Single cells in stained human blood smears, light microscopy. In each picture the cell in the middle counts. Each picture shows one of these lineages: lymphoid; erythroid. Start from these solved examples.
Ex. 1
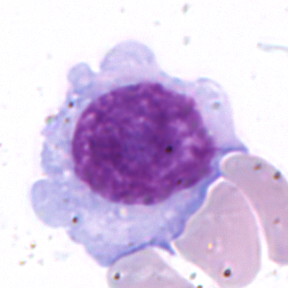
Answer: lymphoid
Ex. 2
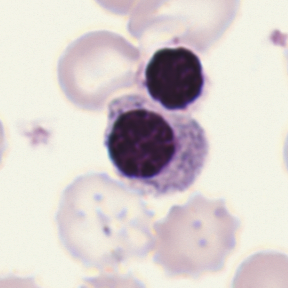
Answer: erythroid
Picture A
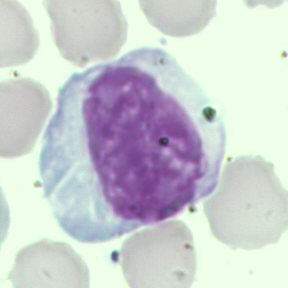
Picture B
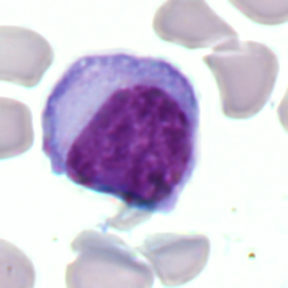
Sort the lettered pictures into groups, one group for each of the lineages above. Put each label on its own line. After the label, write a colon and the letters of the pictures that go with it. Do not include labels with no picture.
lymphoid: A, B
